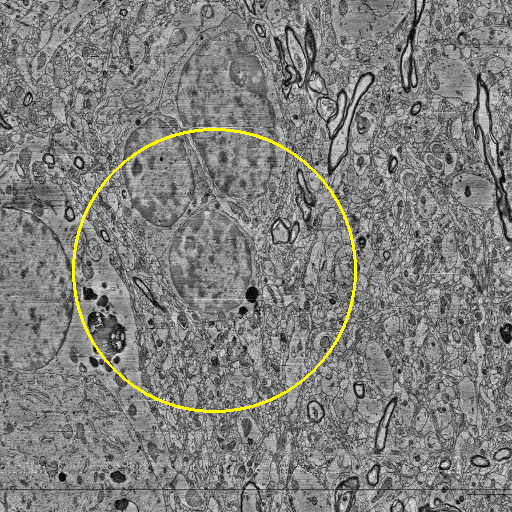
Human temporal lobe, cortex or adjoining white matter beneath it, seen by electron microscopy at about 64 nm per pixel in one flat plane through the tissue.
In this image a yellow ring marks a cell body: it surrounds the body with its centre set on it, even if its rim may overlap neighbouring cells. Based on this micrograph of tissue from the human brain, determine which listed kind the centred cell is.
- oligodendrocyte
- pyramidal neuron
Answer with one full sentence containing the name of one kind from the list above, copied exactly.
It is an oligodendrocyte whose body the yellow ring encloses at its centre.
